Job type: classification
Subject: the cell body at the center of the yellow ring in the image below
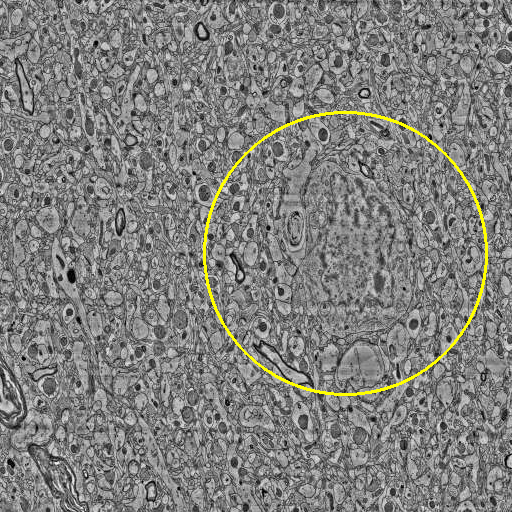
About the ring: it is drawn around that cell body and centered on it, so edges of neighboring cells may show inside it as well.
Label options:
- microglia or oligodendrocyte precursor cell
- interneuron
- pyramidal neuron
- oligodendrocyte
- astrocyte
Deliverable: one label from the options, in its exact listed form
interneuron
